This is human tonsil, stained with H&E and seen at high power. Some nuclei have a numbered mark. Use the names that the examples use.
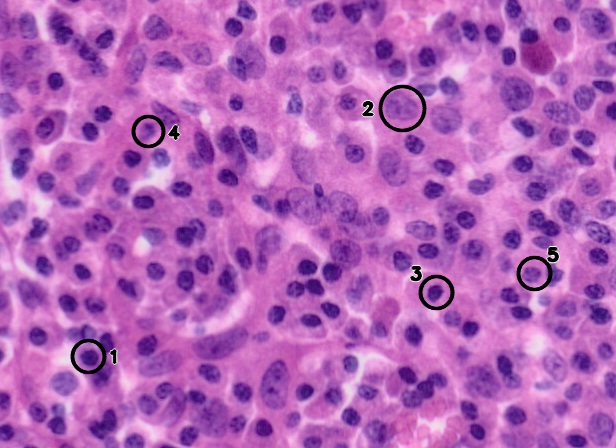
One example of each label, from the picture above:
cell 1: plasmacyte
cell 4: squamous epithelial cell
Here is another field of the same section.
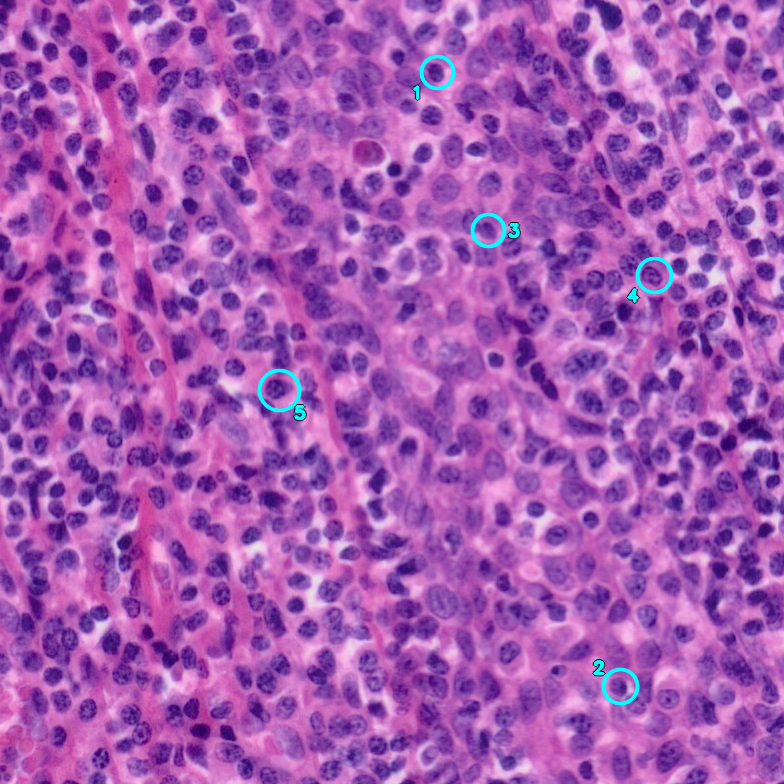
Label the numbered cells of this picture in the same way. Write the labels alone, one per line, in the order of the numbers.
squamous epithelial cell
squamous epithelial cell
squamous epithelial cell
plasmacyte
plasmacyte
